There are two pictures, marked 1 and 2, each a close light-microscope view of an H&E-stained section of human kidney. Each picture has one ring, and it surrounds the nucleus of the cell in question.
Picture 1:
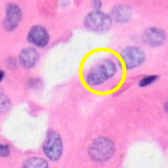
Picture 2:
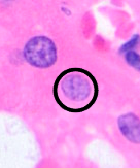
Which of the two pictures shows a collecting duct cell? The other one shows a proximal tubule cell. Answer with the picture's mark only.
1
